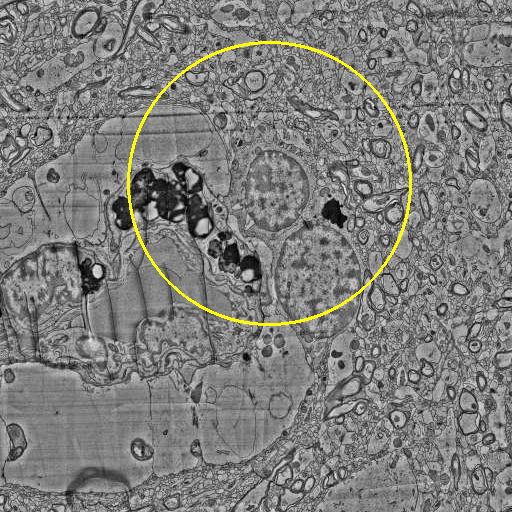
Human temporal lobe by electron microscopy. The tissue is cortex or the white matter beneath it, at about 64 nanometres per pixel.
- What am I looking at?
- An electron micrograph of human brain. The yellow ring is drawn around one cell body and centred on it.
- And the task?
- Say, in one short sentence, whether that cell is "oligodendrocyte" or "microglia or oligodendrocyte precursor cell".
The cell in the middle of the ring is an oligodendrocyte.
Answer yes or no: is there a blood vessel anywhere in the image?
Yes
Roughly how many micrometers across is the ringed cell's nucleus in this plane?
In this plane, approximately 5 by 4 micrometers.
